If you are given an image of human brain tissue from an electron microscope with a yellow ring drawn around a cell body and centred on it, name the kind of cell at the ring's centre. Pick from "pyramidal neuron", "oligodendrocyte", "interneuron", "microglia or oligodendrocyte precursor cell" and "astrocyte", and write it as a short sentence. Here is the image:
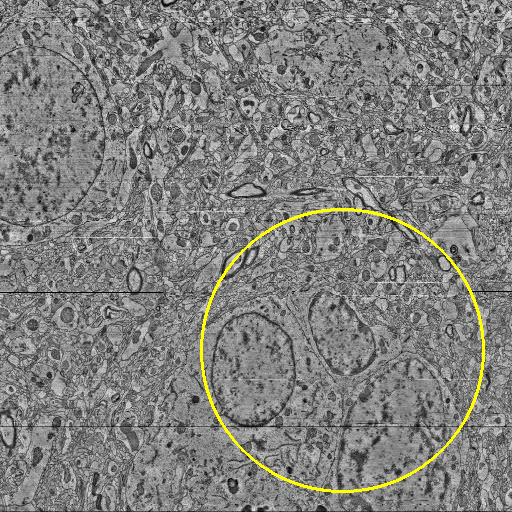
The cell at the ring's centre is a microglial cell or oligodendrocyte precursor cell.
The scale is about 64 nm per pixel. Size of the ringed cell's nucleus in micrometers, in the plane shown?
Approximately 6 micrometres long and 4 micrometres wide, so clearly longer than it is wide in this plane.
